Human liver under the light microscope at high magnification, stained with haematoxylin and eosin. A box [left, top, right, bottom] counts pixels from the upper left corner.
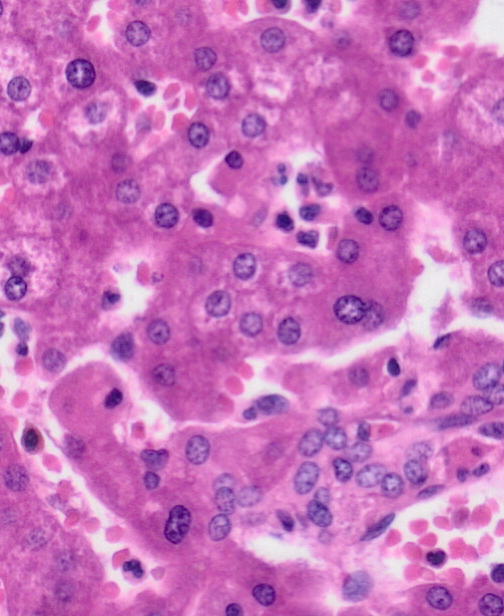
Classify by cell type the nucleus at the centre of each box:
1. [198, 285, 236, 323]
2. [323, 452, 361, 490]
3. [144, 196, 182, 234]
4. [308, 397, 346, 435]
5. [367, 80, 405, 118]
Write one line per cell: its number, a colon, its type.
1: hepatocyte
2: cholangiocyte
3: hepatocyte
4: cholangiocyte
5: hepatocyte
